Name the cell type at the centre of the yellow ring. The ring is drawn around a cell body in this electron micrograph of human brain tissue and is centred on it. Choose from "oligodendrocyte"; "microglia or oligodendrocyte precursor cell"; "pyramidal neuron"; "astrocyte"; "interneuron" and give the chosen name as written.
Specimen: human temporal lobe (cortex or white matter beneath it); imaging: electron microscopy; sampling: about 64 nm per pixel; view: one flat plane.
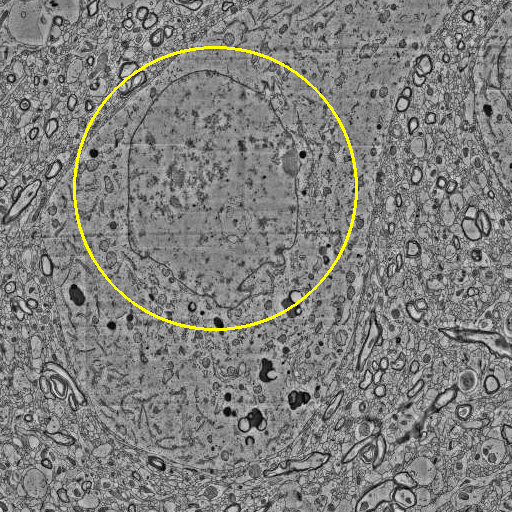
pyramidal neuron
